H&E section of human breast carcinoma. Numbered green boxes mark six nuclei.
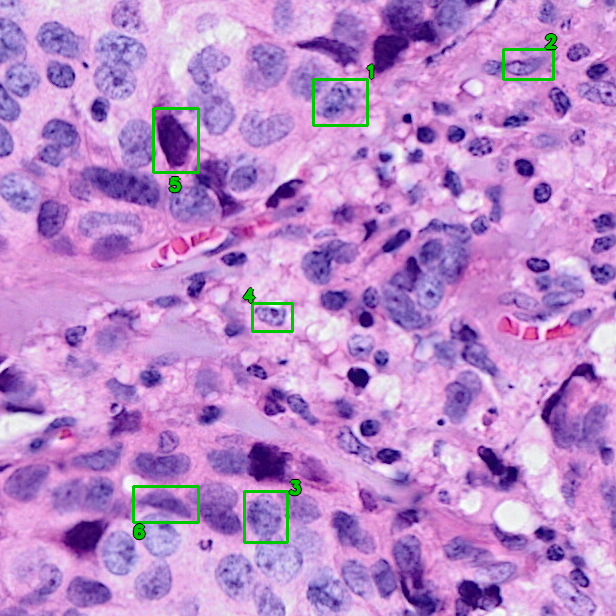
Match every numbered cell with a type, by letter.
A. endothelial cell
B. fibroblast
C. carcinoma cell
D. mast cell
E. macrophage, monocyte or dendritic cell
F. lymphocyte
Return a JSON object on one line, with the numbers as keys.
{"1": "C", "2": "A", "3": "C", "4": "E", "5": "C", "6": "C"}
